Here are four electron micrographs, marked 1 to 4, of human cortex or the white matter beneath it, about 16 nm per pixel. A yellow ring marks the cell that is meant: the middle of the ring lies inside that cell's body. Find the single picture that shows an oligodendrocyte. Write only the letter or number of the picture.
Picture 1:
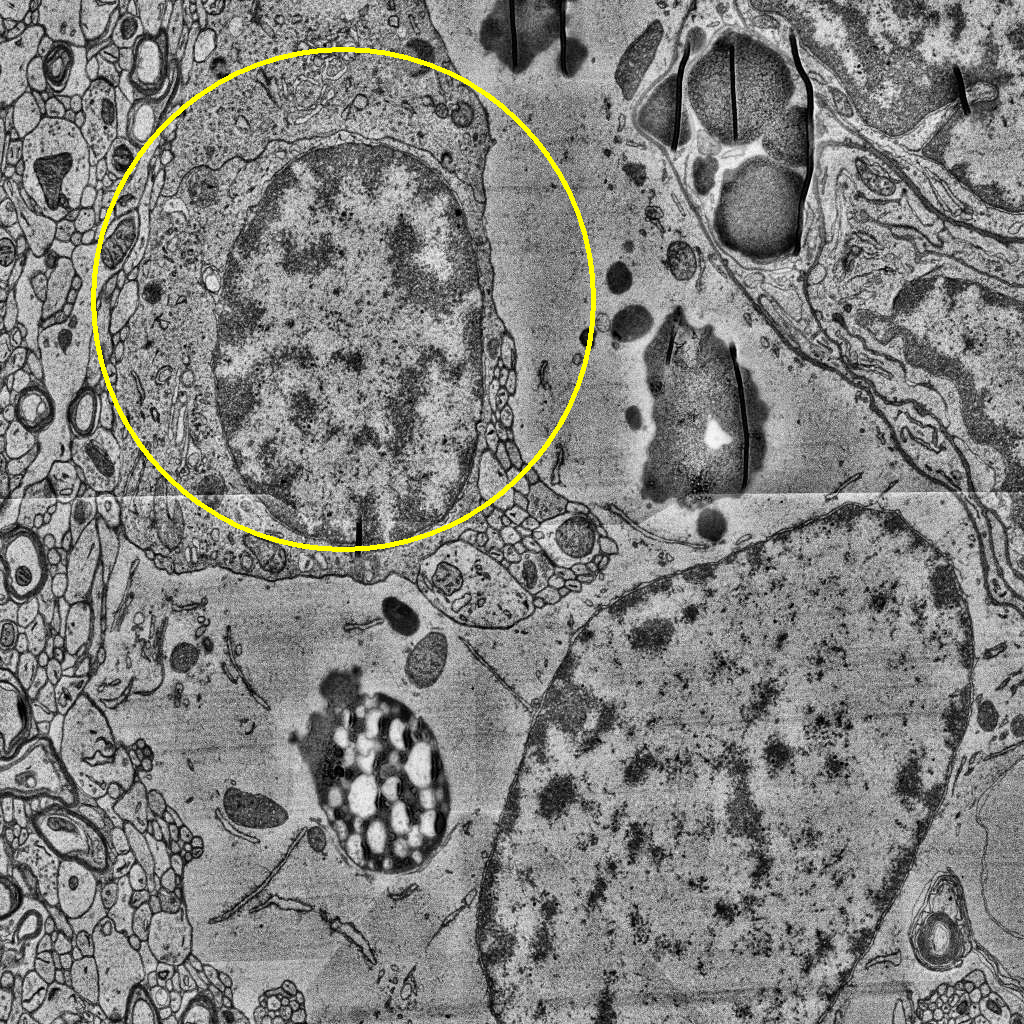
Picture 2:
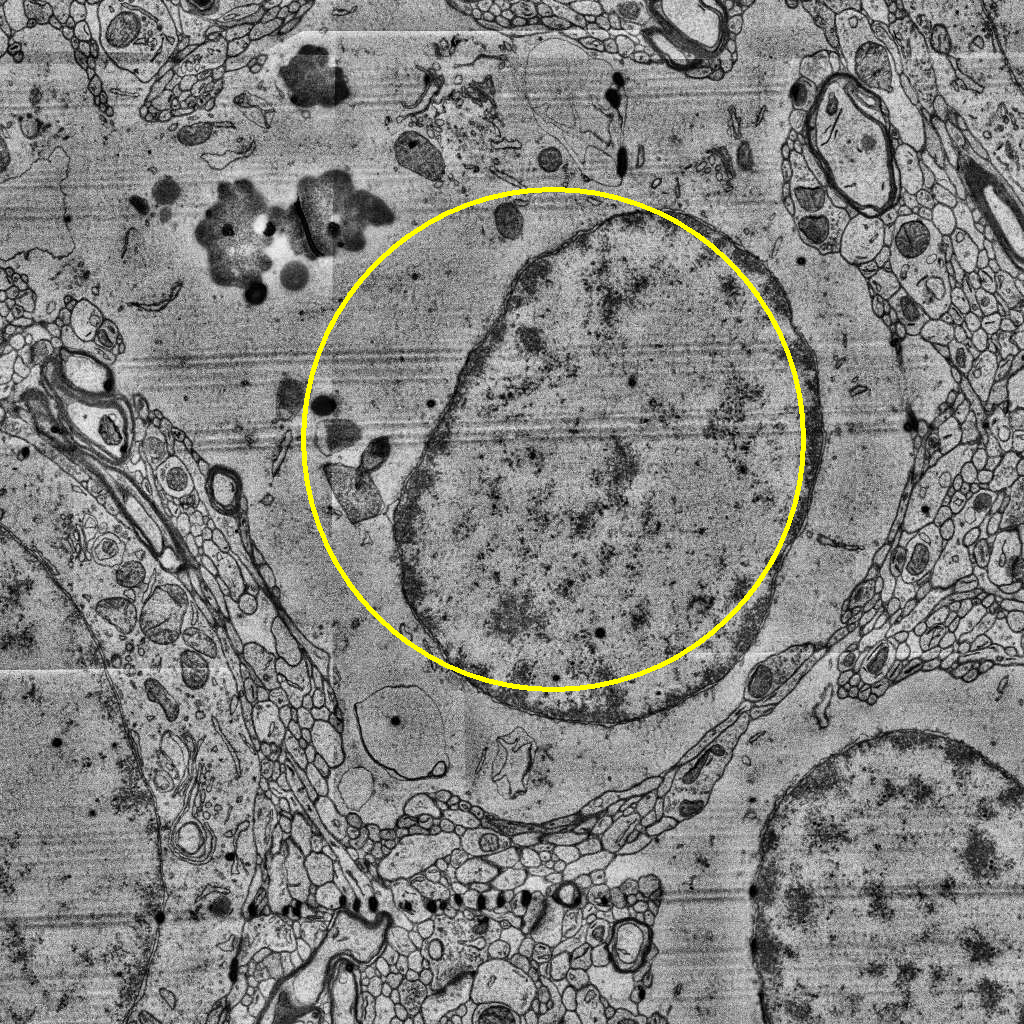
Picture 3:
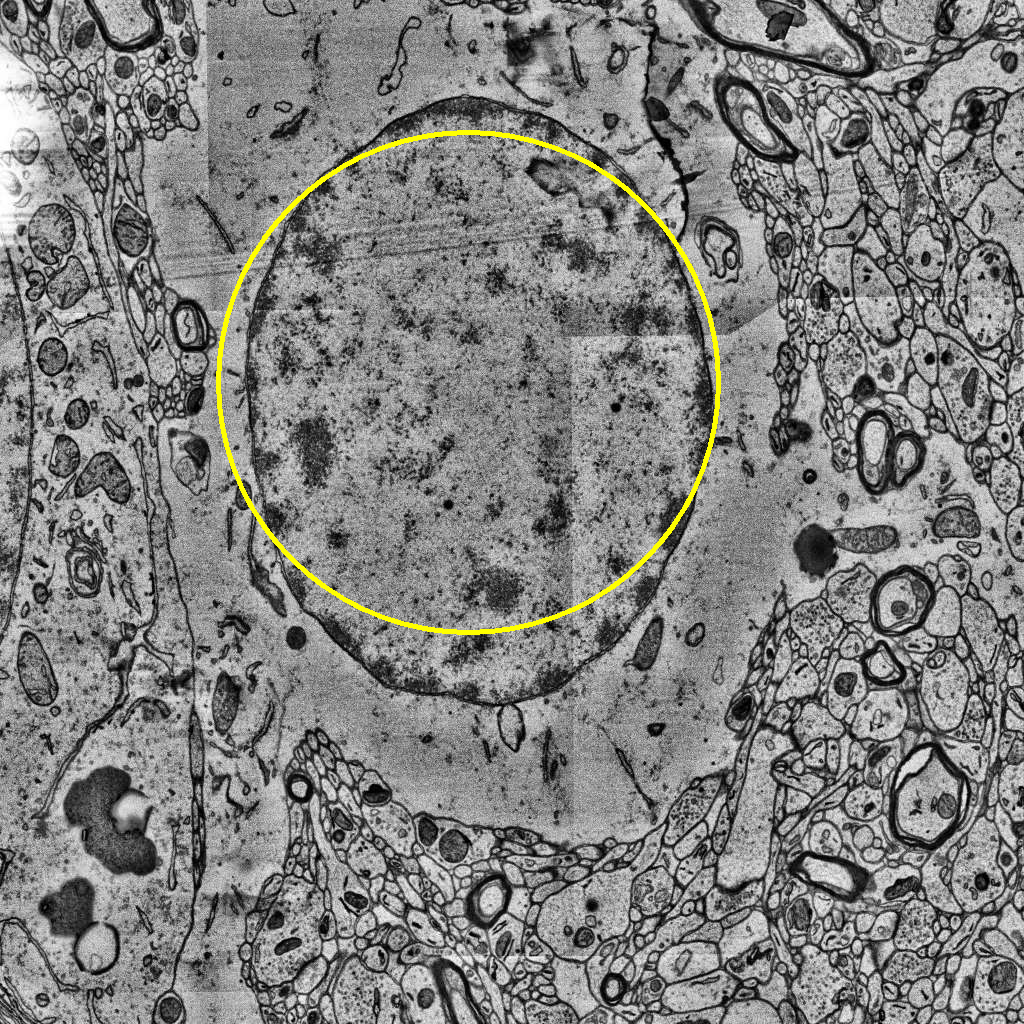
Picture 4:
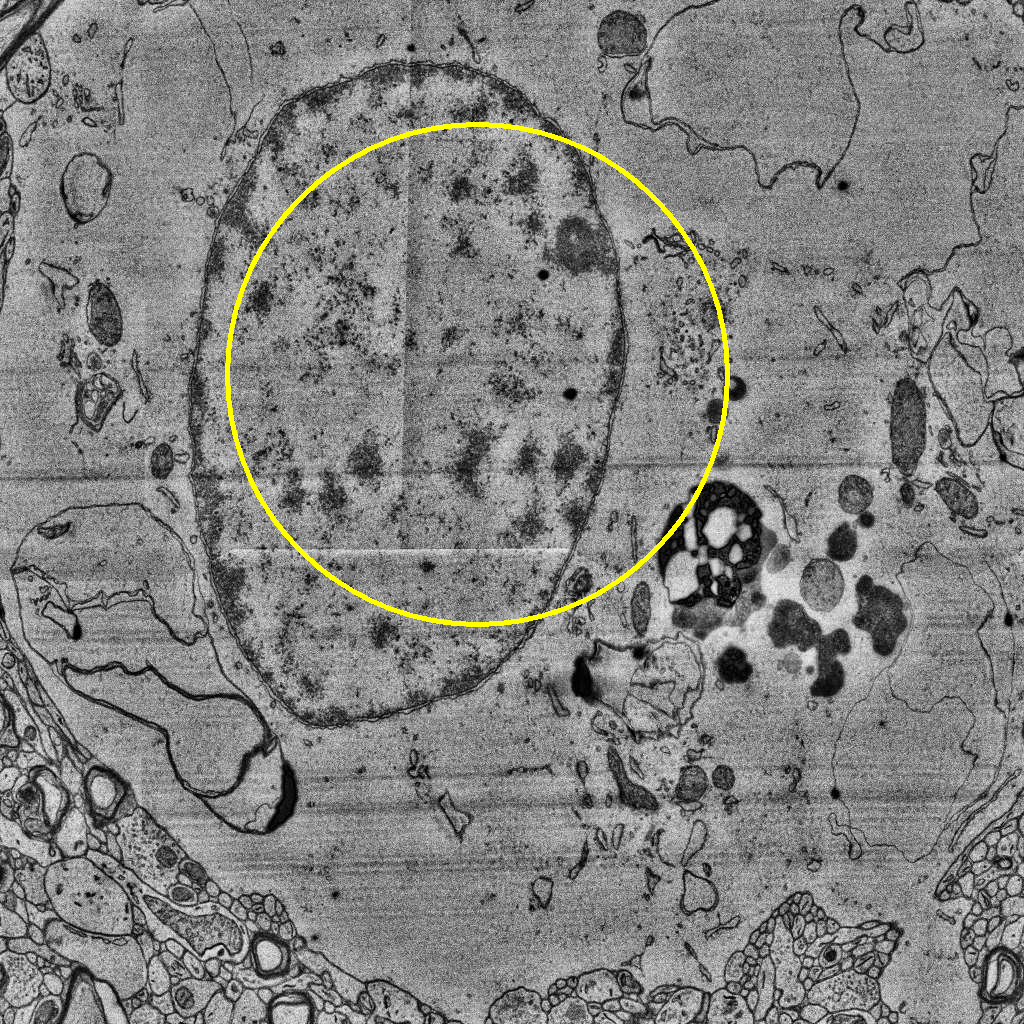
1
